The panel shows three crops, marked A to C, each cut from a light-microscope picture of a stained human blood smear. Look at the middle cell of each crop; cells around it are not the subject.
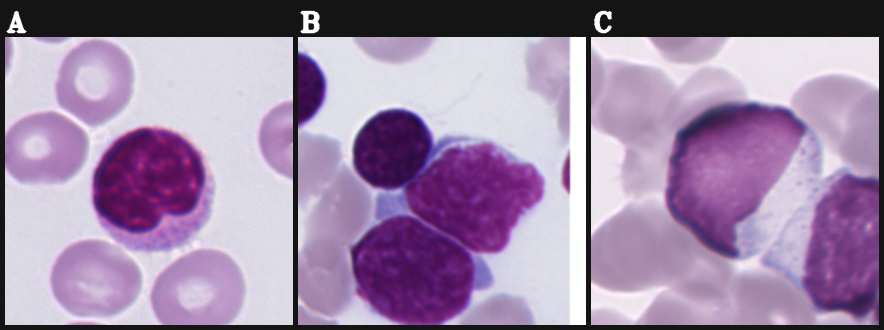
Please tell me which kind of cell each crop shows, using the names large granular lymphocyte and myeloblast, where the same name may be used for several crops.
A: large granular lymphocyte
B: myeloblast
C: large granular lymphocyte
